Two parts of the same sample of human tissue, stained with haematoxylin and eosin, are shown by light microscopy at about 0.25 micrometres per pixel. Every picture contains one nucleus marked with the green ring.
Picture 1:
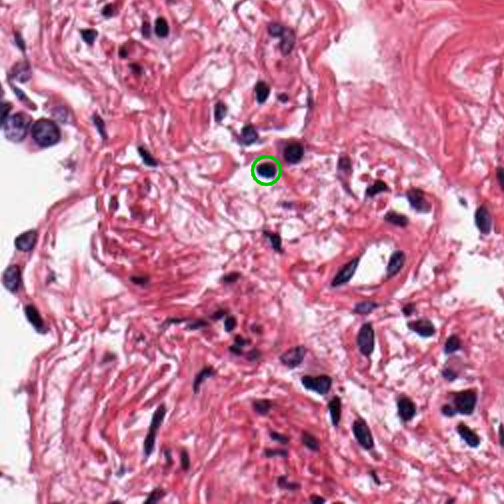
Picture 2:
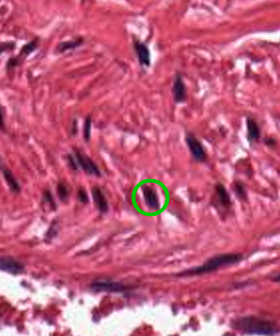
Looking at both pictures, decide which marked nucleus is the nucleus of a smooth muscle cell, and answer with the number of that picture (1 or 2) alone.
2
